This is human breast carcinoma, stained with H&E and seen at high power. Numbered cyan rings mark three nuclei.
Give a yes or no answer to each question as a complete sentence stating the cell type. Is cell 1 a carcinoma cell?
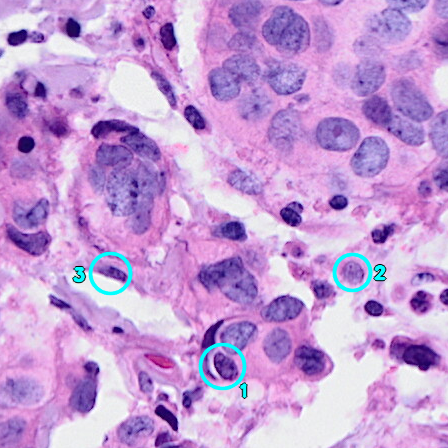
Yes, the marked cell number 1 is a carcinoma cell.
